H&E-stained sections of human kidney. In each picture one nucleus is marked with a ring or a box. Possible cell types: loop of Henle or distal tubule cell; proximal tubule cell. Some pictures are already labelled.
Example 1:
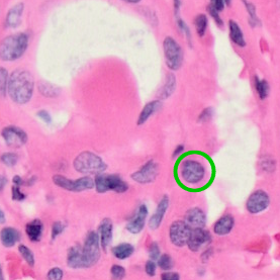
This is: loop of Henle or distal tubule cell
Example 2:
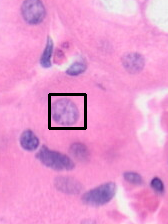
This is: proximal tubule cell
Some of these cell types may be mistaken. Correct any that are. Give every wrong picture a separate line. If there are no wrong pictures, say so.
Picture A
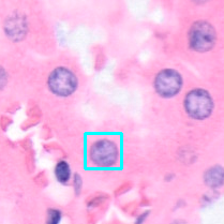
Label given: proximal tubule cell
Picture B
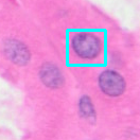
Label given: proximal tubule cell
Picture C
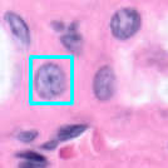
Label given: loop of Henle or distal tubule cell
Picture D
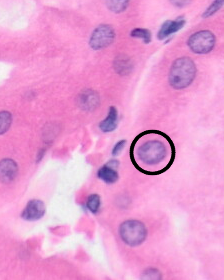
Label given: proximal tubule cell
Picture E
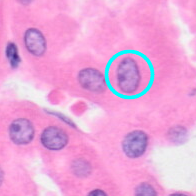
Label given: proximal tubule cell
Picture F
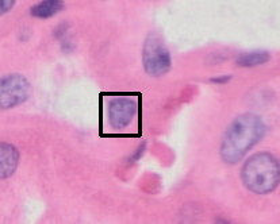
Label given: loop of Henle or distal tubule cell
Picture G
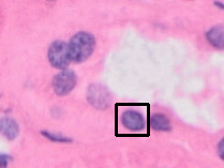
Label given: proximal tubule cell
G: loop of Henle or distal tubule cell, not proximal tubule cell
